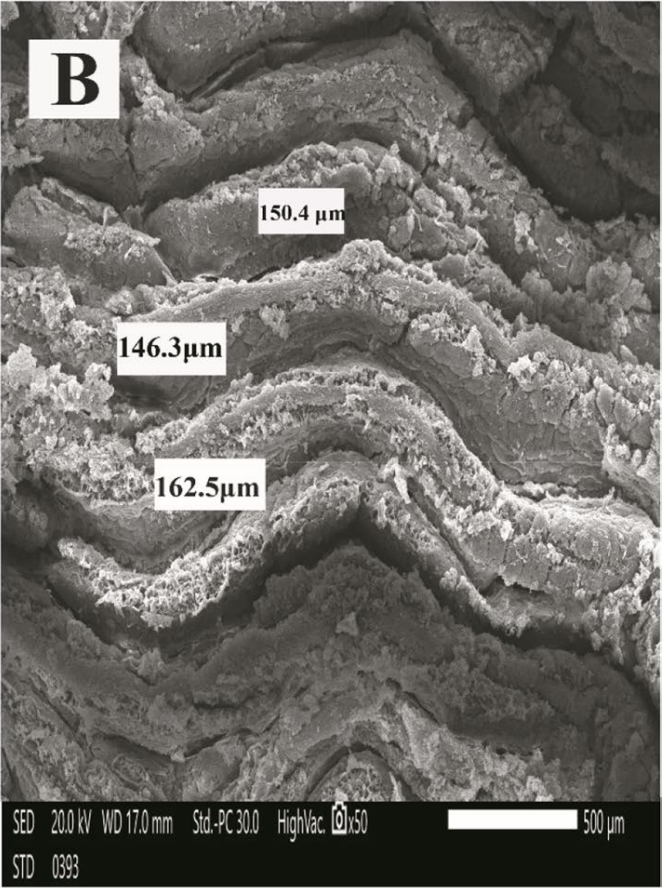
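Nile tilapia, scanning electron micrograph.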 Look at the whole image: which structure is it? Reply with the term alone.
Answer: Intestinal villi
